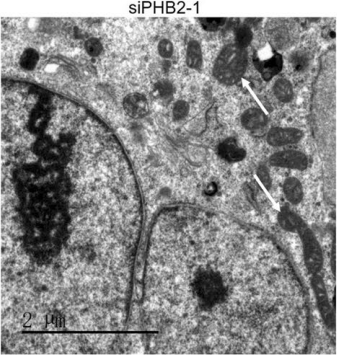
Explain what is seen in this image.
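Cytoplasm of cultured cells crowded with mitochondria, oval to elongated, dark, with visible cristae, lying next to the nuclear envelope. To the left a nucleus holds an elongated, irregular, dense nucleolus, and a second nucleus with a small dark nucleolus lies below.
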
